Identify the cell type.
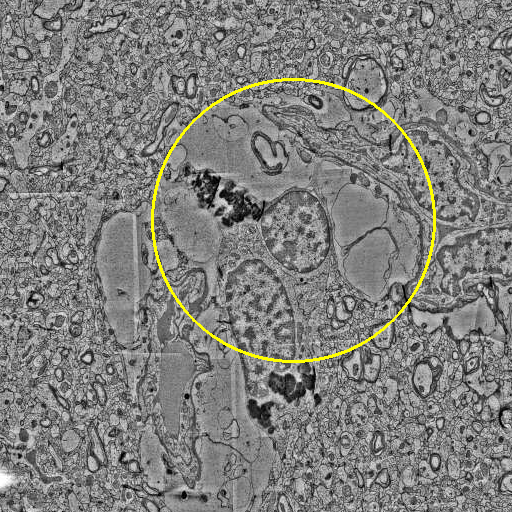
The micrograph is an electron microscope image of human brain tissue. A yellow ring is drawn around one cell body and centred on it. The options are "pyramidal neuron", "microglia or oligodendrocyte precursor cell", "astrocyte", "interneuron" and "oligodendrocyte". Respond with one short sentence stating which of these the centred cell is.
The cell body in the ring belongs to an oligodendrocyte.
